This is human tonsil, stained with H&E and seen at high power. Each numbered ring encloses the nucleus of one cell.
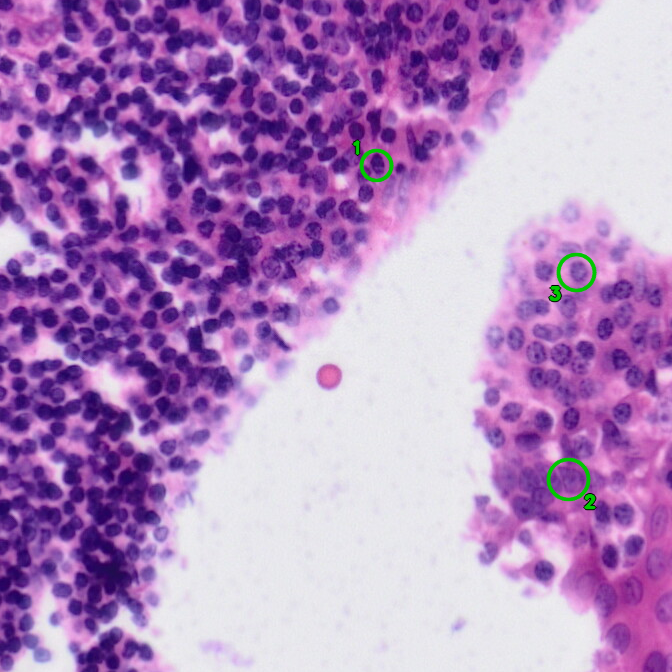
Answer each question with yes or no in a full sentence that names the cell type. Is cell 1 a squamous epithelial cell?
No, number 1 marks a plasma cell rather than a squamous epithelial cell.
